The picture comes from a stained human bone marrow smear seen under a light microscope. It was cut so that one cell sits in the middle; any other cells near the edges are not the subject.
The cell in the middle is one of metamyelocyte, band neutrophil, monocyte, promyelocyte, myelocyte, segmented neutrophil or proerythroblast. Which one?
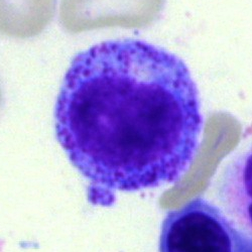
myelocyte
